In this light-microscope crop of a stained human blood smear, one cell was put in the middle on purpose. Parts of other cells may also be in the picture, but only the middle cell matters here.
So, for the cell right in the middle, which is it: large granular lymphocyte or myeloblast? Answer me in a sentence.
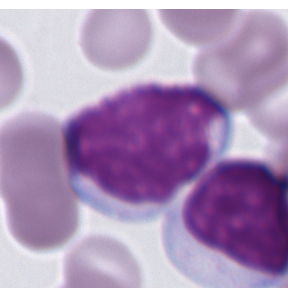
Regarding the central cell, it is a large granular lymphocyte.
